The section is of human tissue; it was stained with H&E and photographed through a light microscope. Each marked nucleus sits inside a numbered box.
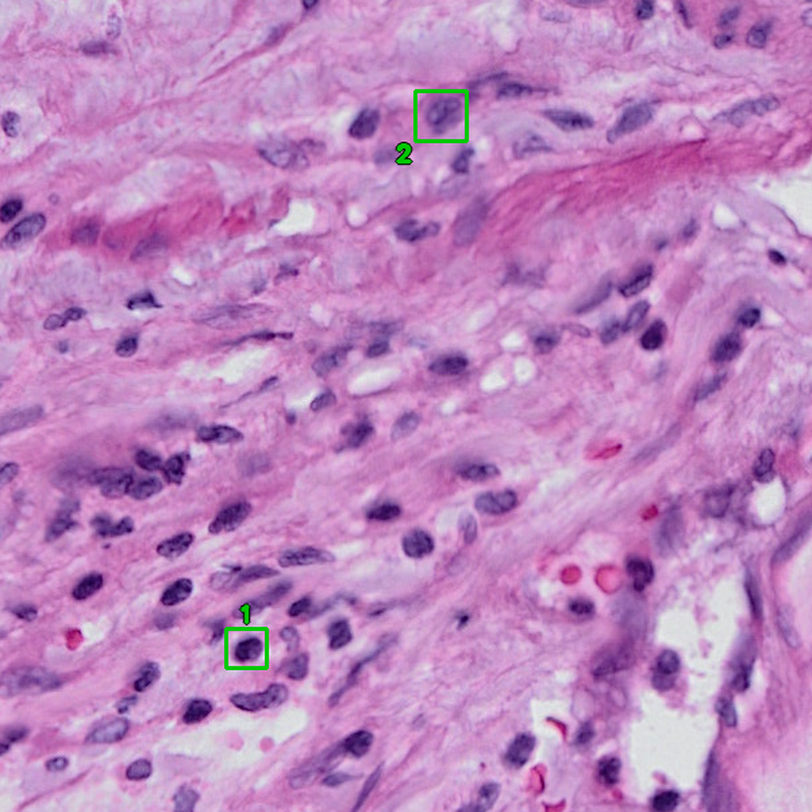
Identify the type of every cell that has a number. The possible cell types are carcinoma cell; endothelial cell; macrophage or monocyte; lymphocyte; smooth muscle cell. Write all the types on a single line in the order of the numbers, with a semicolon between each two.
lymphocyte; endothelial cell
